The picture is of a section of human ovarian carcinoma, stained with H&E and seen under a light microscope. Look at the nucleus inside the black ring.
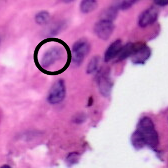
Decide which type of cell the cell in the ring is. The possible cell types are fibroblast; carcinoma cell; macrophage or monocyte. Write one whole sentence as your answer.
On this particular slide, the cell in the ring is a macrophage or monocyte.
